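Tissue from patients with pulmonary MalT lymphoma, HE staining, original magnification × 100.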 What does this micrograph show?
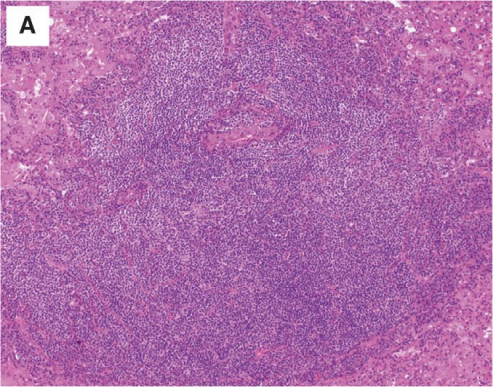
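This field shows a dense infiltrate of lymphocytes that crowds out most of the normal tissue. The cells are small and closely packed, with dark round nuclei and little cytoplasm, forming a confluent blue sheet. Only at the margins does pink, much less cellular tissue remain, and a few pink vessel walls run through the middle of the infiltrate.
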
